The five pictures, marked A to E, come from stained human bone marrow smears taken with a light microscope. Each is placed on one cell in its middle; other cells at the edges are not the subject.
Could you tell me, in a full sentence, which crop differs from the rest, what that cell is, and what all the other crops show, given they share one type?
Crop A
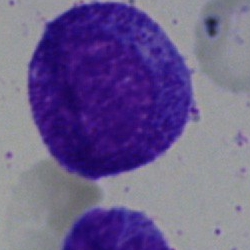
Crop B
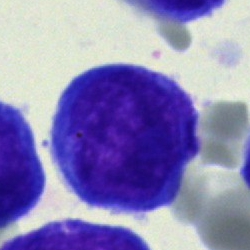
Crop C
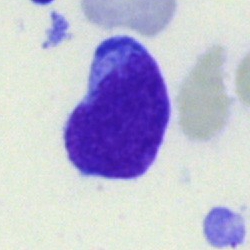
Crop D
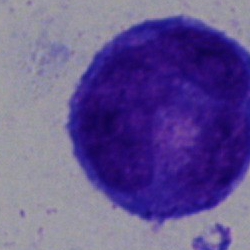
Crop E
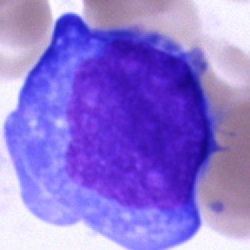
Differing from the rest, crop A shows a promyelocyte; the others all show blasts.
